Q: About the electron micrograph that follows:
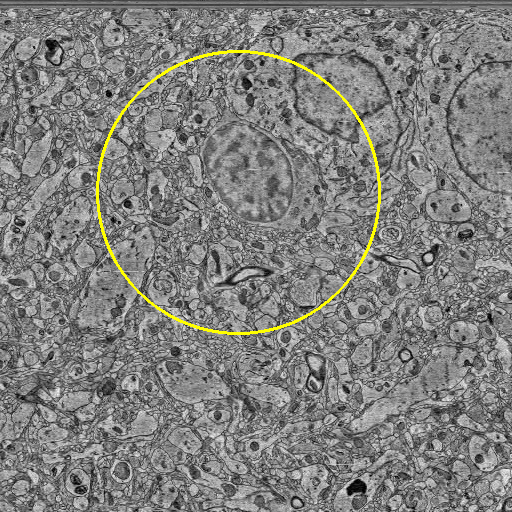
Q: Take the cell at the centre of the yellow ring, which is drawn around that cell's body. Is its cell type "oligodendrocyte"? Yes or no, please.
Yes, its type is that one.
